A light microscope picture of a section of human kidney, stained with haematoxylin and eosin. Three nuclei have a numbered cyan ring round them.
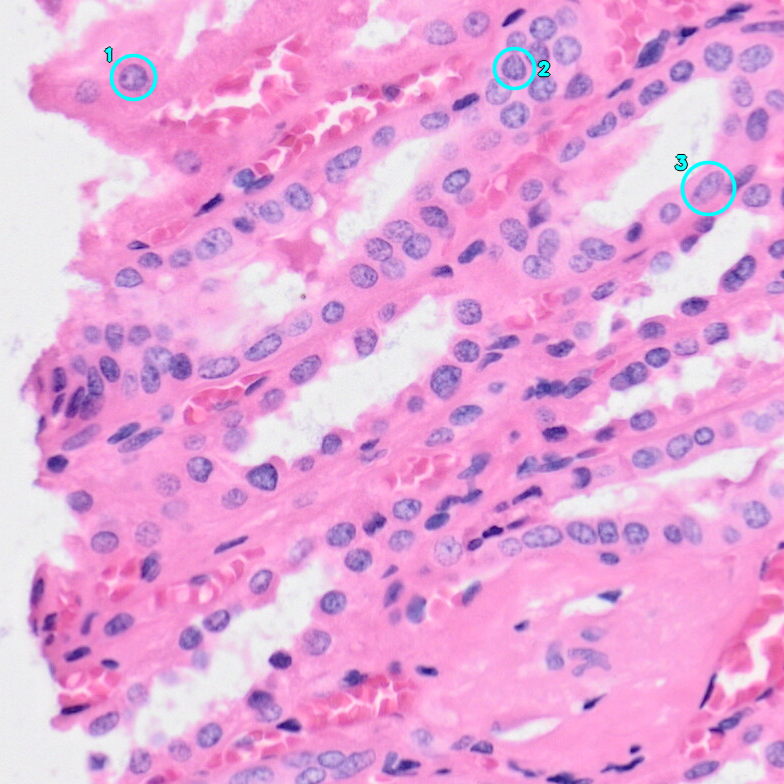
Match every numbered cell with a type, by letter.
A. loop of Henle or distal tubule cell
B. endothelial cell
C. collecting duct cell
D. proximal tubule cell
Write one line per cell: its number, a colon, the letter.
1: D
2: C
3: C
